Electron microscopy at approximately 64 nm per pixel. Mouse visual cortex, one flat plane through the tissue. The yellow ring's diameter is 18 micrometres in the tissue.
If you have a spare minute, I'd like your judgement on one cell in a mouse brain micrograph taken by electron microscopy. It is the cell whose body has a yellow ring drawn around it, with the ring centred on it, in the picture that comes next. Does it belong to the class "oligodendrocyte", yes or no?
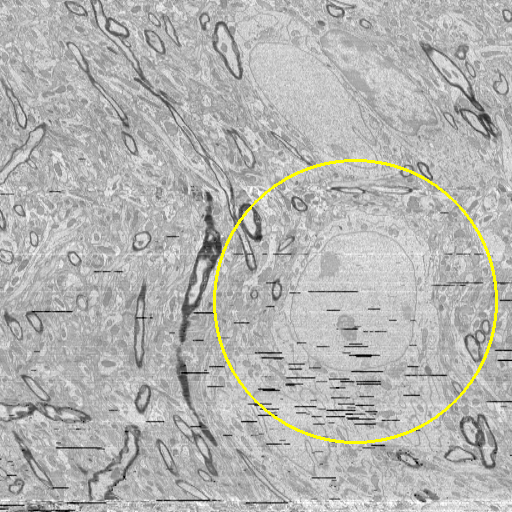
No, it belongs to another class.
